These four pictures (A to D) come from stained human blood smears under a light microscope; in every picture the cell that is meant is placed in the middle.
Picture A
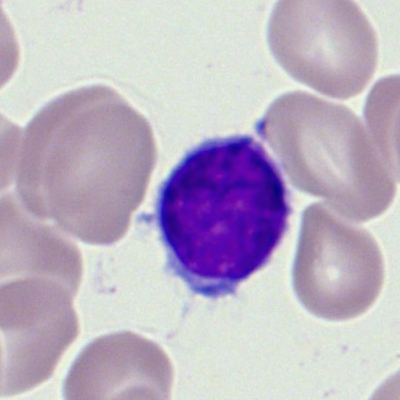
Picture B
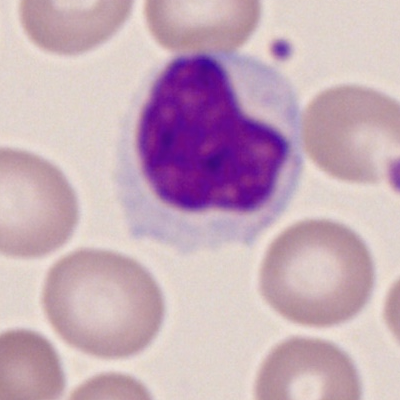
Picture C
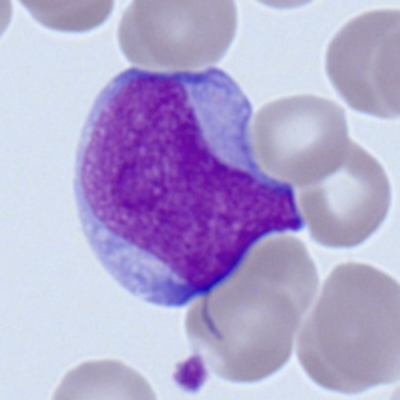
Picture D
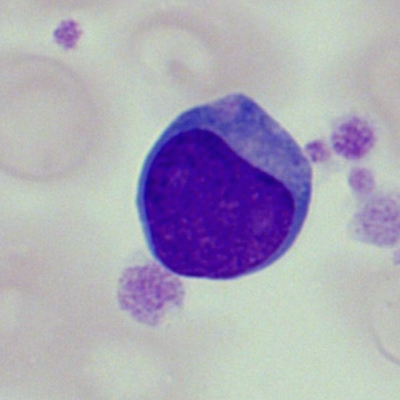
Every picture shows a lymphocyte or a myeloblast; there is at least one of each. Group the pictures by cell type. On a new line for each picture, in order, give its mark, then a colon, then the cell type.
A: lymphocyte
B: lymphocyte
C: myeloblast
D: myeloblast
